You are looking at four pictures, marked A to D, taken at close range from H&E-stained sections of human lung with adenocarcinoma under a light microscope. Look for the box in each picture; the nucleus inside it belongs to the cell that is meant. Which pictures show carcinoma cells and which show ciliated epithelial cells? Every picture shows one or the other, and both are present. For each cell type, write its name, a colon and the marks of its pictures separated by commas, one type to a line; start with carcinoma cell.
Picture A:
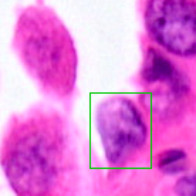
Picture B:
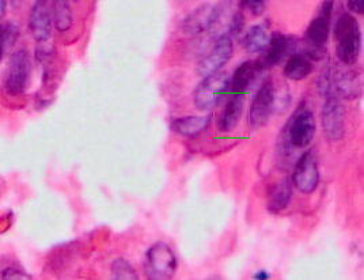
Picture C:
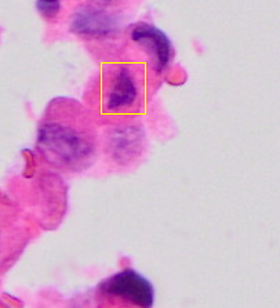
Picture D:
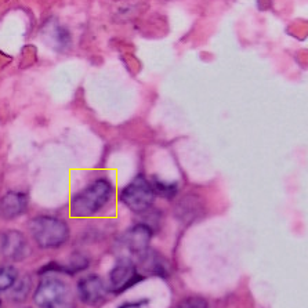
carcinoma cell: A, C
ciliated epithelial cell: B, D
